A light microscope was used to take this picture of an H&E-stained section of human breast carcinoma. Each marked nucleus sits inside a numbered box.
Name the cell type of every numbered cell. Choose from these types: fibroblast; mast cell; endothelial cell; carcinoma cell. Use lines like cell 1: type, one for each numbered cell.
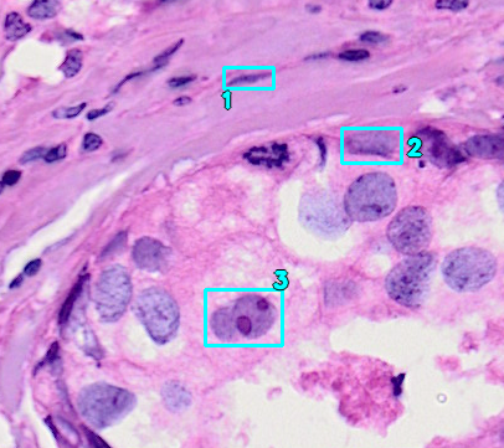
cell 1: fibroblast
cell 2: carcinoma cell
cell 3: carcinoma cell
